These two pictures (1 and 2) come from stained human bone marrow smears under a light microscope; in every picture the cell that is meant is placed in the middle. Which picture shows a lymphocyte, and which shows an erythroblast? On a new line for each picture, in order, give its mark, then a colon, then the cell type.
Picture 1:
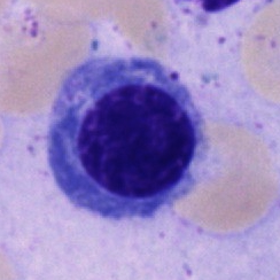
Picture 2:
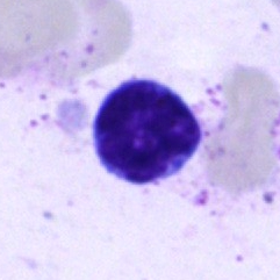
1: erythroblast
2: lymphocyte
